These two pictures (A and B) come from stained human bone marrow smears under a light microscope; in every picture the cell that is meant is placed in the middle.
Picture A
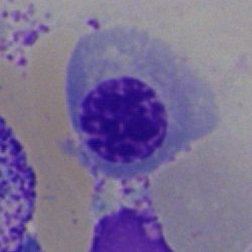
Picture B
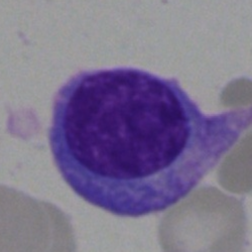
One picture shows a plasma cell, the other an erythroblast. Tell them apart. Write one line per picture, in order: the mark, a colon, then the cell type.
A: erythroblast
B: plasma cell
